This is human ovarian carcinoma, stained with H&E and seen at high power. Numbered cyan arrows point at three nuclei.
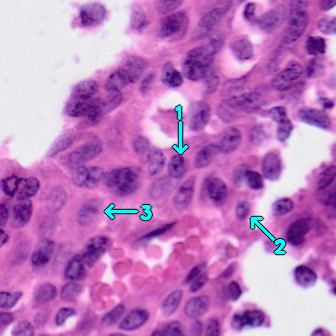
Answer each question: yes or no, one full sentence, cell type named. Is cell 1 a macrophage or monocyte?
Yes, the cell referred to as number 1 is a macrophage or monocyte.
